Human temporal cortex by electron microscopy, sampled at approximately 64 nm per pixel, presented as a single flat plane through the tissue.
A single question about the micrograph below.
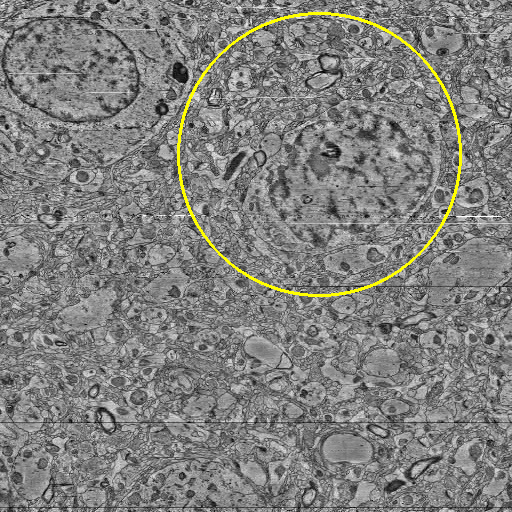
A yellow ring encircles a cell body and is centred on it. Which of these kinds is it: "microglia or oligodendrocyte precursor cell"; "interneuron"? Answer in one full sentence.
The cell body at the centre of the yellow ring belongs to an interneuron.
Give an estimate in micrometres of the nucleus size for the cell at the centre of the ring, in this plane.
In this plane the nucleus measures roughly 10 by 8 micrometers.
